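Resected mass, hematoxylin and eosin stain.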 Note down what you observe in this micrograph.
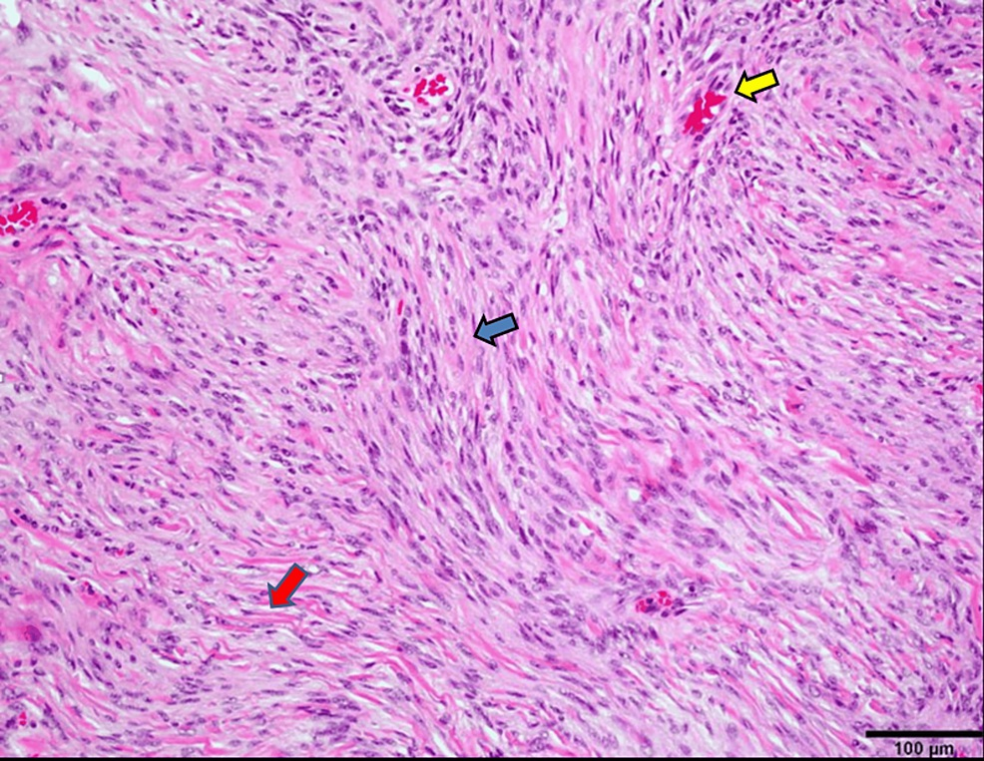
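A cellular neoplasm of spindle cells arranged in interlacing fascicles fills the field. The cells are elongated with tapered ends. Their nuclei are oval to elongated, evenly purple and bland, with no striking enlargement or irregularity. The cytoplasm is pale pink and merges with the surrounding matrix. Between the cells lie pink, wavy bands of collagen that run along the bundles. The bundles sweep in different directions. Scattered small blood vessels contain bright red erythrocytes. No whorls of cells, necrosis or mitotic figures are evident.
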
